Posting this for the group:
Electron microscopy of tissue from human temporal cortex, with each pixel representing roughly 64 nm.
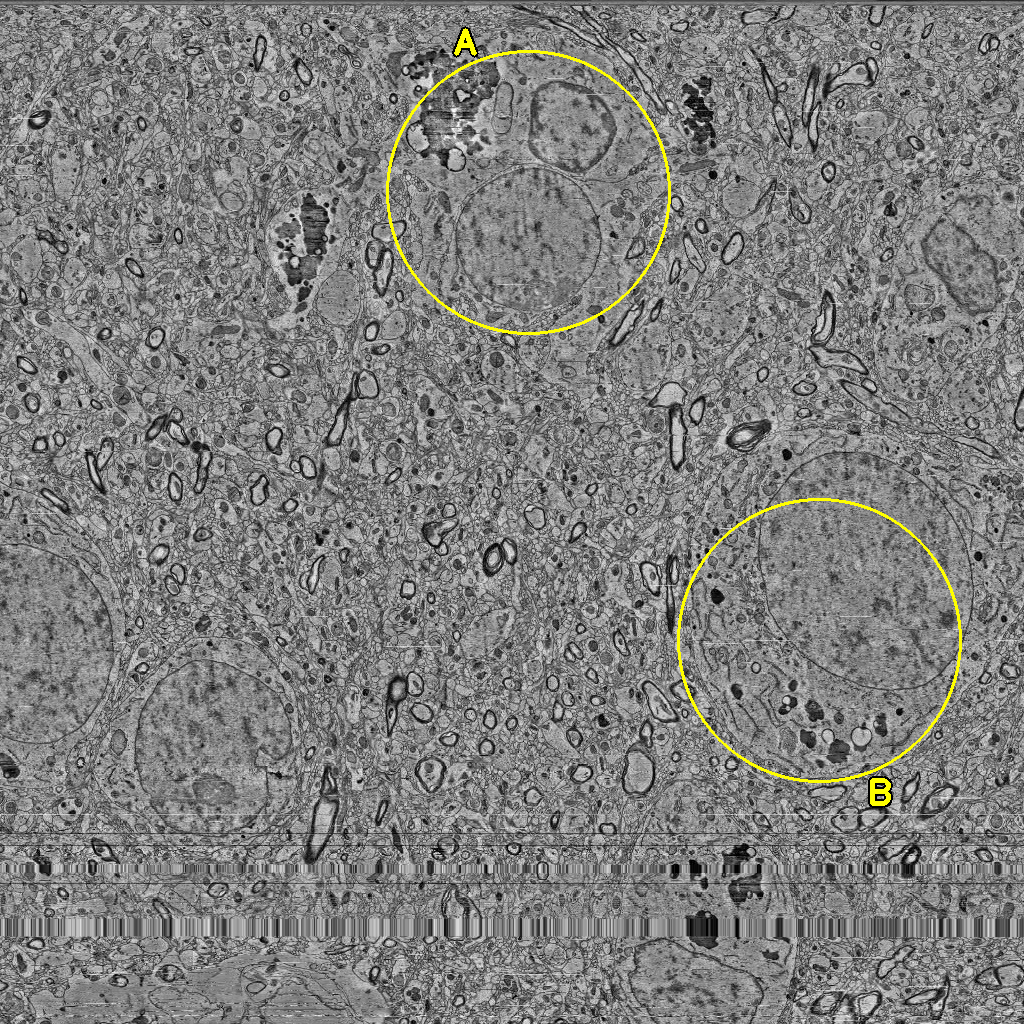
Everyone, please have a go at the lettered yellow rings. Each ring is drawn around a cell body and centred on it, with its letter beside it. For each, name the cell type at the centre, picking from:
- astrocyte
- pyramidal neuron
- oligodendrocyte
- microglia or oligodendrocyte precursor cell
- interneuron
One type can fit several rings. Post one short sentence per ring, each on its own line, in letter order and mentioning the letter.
My call for ring A is an astrocyte.
My call for ring B is a pyramidal neuron.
